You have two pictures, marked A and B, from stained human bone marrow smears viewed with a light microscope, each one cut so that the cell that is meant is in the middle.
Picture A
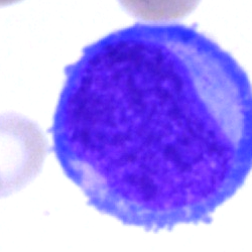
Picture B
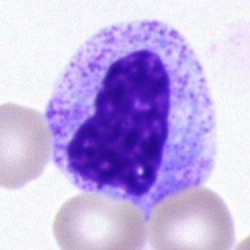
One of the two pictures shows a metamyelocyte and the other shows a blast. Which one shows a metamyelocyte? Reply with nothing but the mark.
B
